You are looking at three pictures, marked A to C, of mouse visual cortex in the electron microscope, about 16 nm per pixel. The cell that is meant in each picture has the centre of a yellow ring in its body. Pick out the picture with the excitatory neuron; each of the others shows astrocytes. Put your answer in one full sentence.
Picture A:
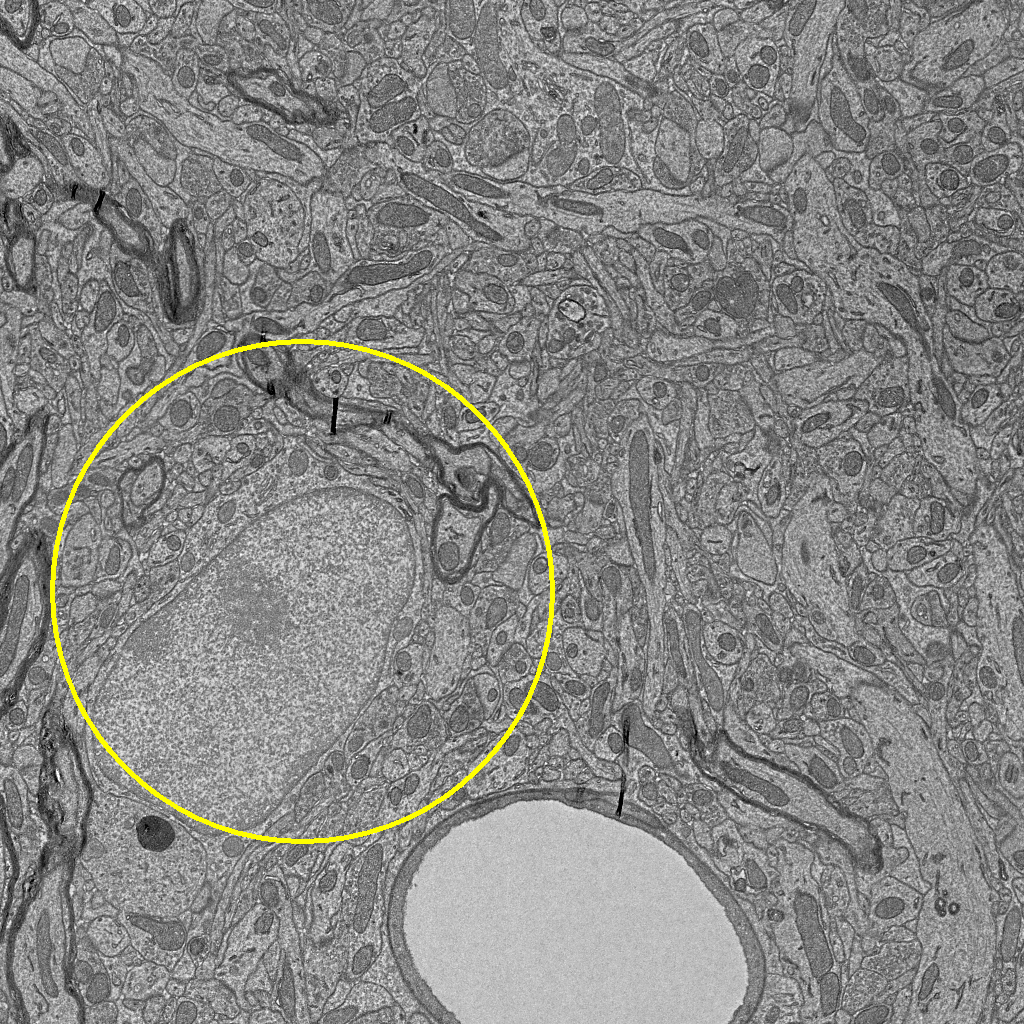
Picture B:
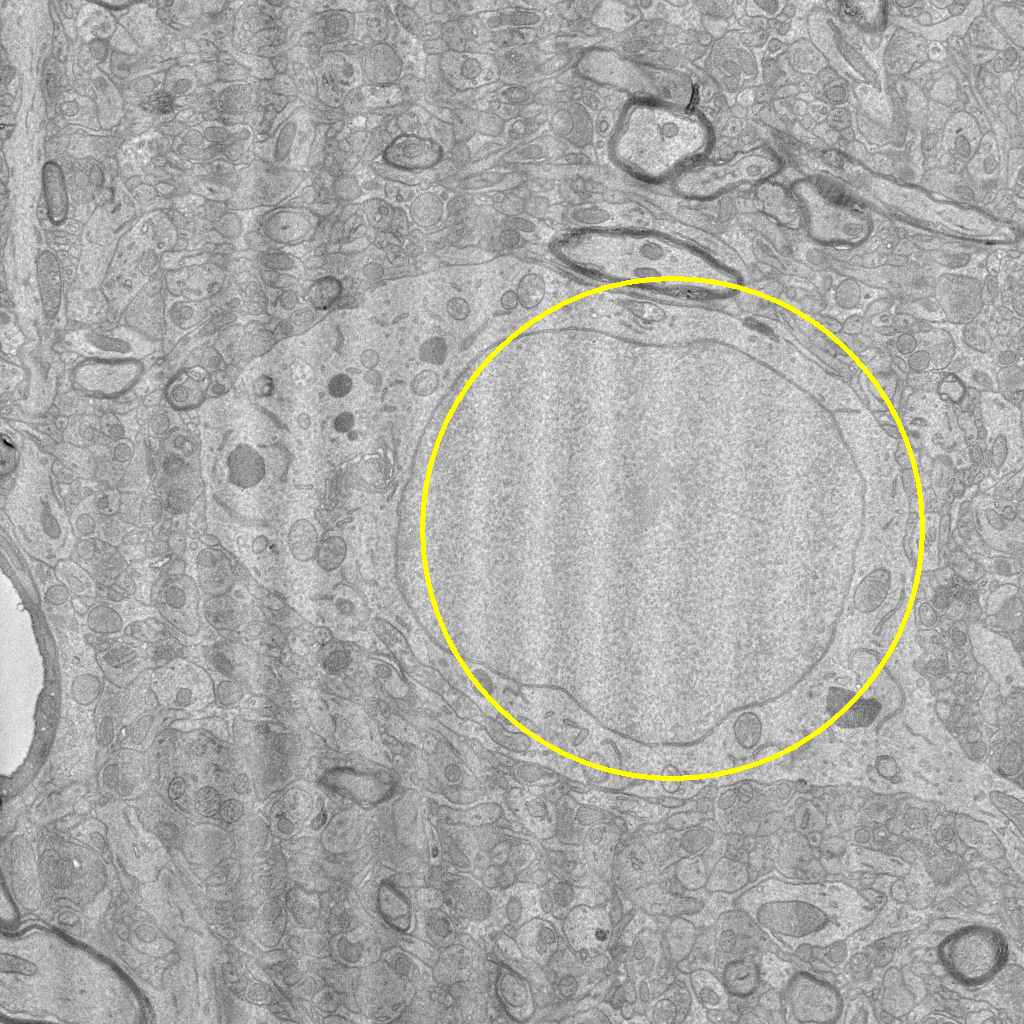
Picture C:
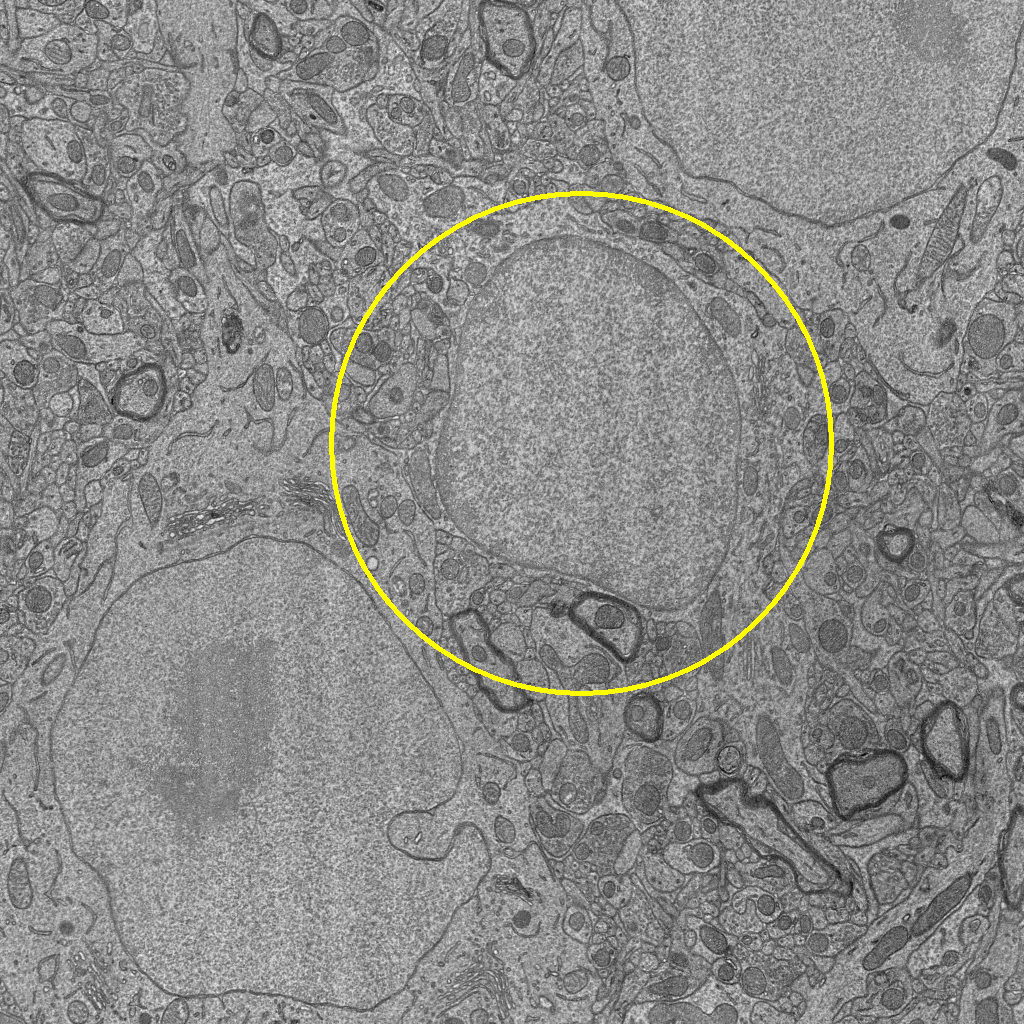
The excitatory neuron is the one in picture B.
